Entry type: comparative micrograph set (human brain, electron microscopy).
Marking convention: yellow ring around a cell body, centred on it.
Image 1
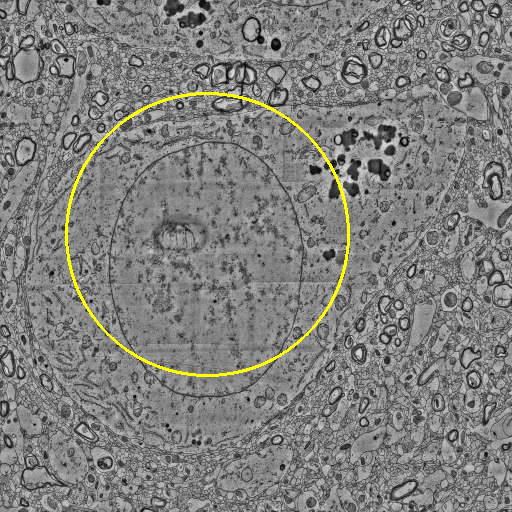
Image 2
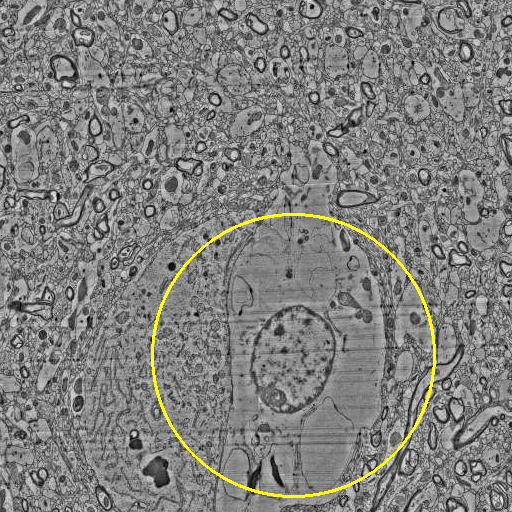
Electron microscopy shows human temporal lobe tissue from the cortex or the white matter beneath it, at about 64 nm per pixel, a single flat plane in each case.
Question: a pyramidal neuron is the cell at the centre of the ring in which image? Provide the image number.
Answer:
1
